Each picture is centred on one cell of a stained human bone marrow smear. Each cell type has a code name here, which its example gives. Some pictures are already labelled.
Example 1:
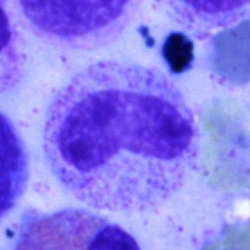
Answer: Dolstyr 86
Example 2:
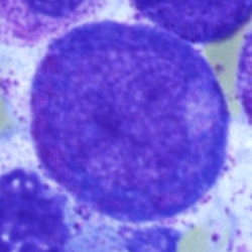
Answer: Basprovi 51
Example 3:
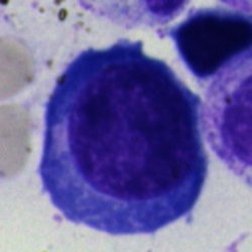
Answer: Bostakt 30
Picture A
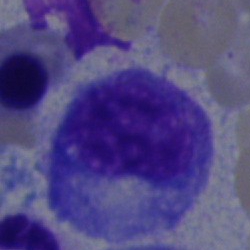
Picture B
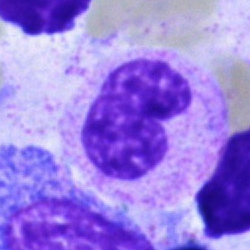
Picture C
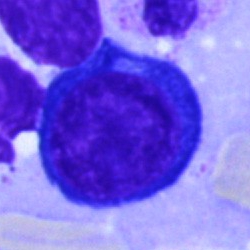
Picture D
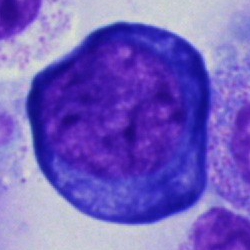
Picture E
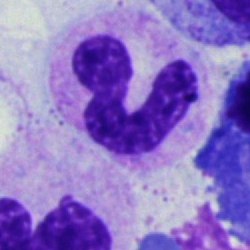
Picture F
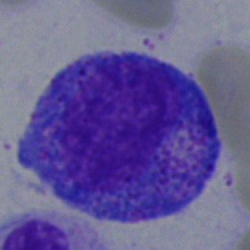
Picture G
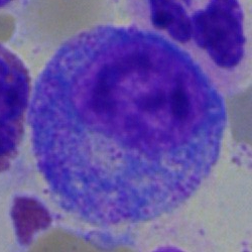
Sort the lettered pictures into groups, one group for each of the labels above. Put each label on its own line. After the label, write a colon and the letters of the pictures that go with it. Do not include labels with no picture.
Dolstyr 86: B, E
Basprovi 51: A, F, G
Bostakt 30: C, D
